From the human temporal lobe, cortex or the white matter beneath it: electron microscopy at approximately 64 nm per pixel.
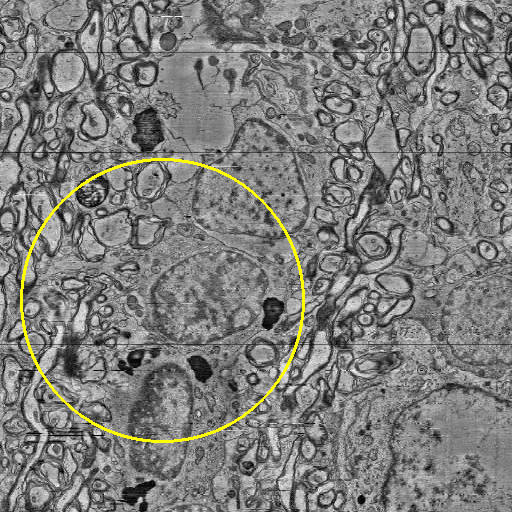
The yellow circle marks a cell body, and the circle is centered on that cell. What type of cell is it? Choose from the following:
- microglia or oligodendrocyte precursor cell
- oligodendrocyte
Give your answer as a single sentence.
This cell body belongs to an oligodendrocyte.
